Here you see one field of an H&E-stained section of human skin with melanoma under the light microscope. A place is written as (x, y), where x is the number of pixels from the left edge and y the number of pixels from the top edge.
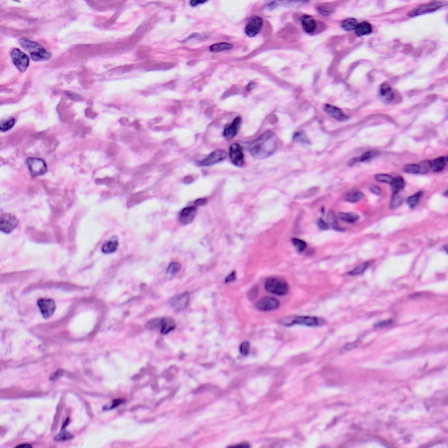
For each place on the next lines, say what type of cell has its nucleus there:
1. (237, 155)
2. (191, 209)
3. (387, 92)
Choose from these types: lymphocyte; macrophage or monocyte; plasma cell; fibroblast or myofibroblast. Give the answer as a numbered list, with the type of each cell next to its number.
1. plasma cell
2. fibroblast or myofibroblast
3. plasma cell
